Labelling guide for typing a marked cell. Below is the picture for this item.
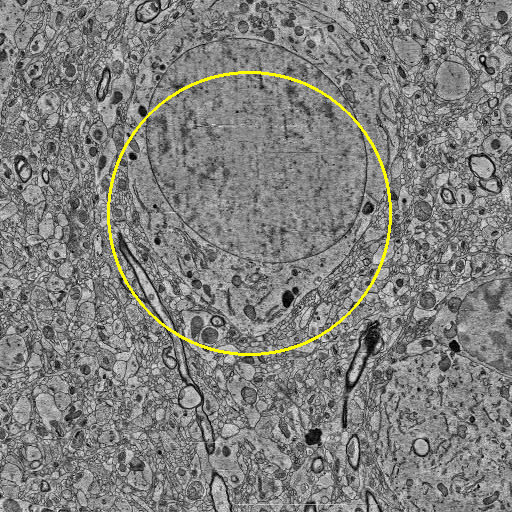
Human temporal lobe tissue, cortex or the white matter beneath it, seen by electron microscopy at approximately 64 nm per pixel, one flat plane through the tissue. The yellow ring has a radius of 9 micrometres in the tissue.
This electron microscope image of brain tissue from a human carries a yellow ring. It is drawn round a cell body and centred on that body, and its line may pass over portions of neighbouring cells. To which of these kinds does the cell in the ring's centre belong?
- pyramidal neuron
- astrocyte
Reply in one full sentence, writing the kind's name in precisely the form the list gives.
Here we have a pyramidal neuron at the centre of the yellow ring in the picture.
